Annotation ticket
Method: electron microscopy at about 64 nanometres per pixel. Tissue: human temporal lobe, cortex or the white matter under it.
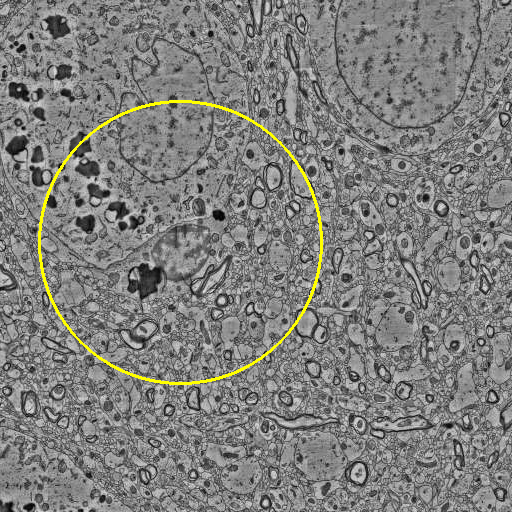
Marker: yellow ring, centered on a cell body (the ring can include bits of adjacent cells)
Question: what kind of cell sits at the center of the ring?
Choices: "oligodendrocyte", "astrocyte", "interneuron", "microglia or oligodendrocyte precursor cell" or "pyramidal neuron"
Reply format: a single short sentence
The ring is centered on an oligodendrocyte.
